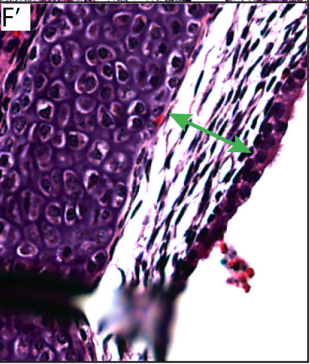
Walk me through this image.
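Here a cartilage plate fills the left side, its rounded cells sitting in lacunae within purple matrix. To its right lies a broad band of connective tissue packed with elongated, spindle-shaped cells running roughly parallel to the cartilage surface, bounded on the right by a thin, dark-staining cellular lining.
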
